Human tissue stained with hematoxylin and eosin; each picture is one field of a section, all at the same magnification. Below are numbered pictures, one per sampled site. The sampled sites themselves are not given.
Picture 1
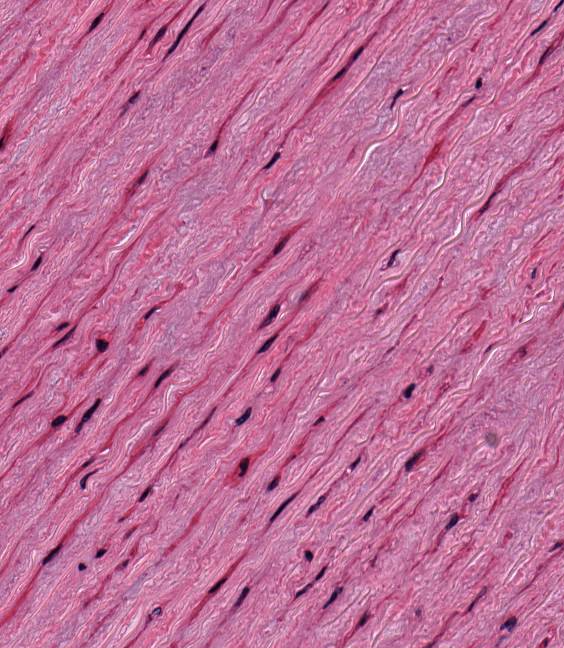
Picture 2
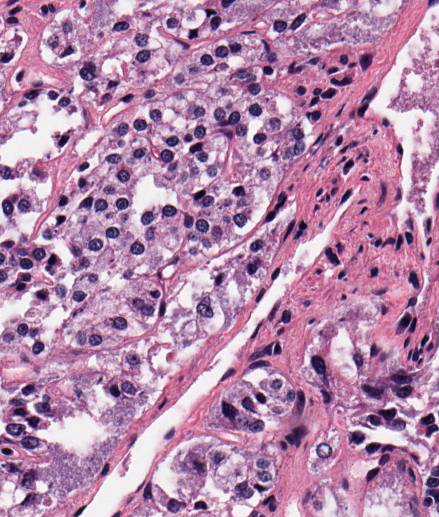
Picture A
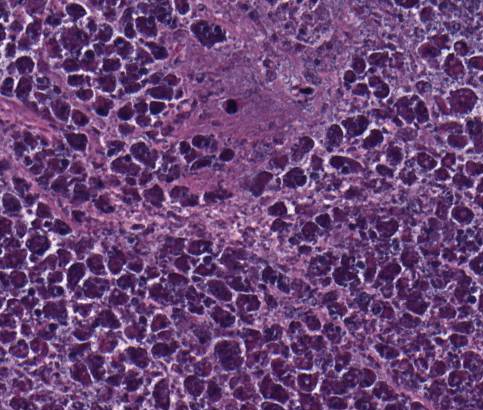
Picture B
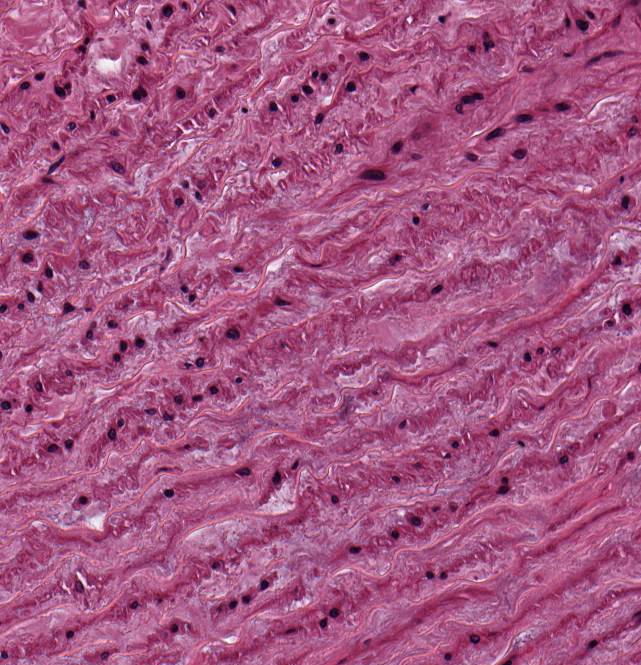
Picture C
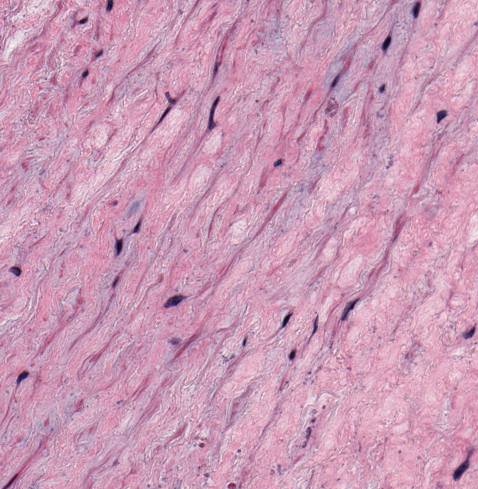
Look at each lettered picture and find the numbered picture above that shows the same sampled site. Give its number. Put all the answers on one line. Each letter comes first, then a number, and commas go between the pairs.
A 2, B 1, C 1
